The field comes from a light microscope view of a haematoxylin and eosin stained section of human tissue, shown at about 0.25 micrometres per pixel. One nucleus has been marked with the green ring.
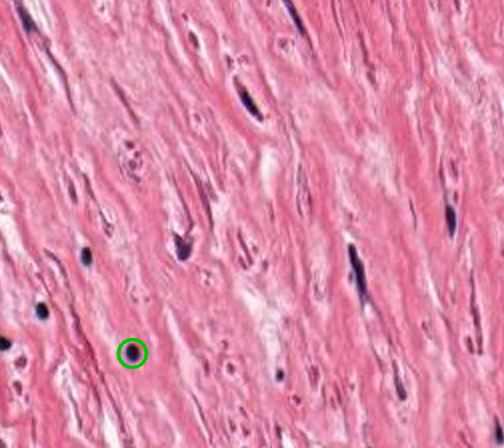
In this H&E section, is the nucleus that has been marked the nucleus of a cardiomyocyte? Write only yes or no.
no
